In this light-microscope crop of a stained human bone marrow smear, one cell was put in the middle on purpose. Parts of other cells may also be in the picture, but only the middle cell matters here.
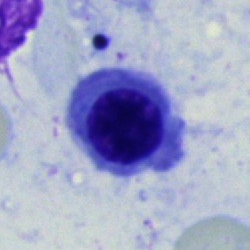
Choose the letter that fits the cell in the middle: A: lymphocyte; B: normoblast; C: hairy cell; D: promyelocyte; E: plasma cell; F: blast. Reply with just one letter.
B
